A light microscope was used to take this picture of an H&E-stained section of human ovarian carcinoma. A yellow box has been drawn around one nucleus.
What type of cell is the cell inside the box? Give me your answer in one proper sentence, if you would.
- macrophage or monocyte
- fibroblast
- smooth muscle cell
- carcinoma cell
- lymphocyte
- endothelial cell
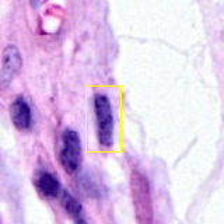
In this preparation, the cell inside the box is a macrophage or monocyte.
